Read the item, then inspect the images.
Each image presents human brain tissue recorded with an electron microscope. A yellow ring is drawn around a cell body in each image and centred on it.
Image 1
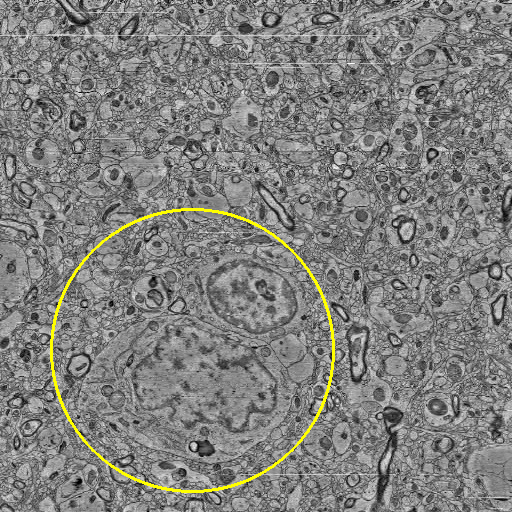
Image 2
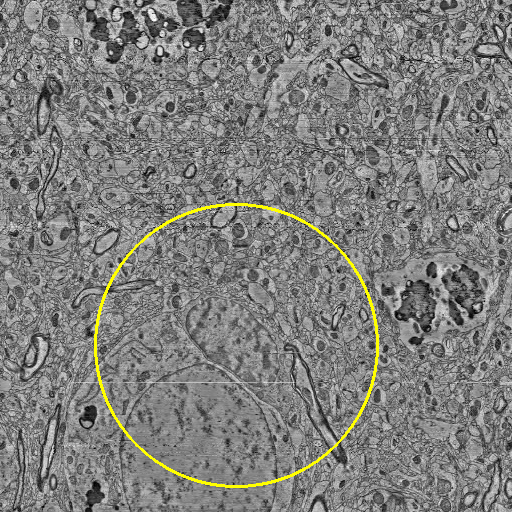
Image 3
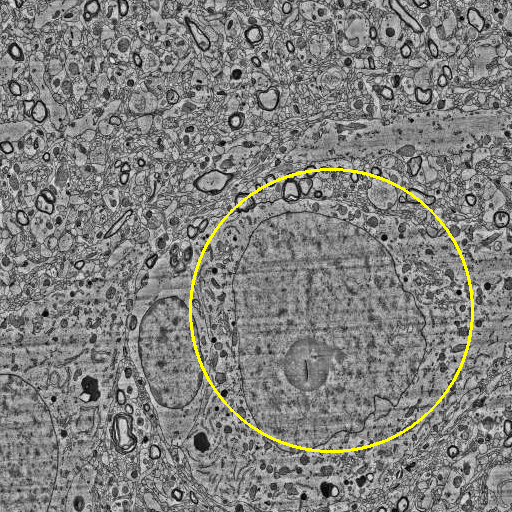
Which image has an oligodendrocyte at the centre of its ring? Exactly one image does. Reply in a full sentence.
The ring in Image 2 is centred on it.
